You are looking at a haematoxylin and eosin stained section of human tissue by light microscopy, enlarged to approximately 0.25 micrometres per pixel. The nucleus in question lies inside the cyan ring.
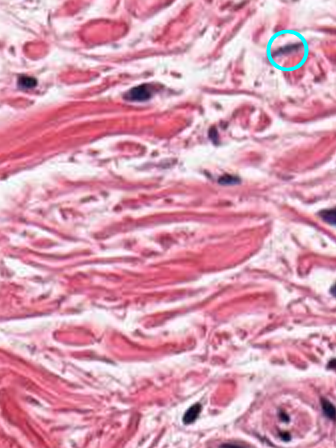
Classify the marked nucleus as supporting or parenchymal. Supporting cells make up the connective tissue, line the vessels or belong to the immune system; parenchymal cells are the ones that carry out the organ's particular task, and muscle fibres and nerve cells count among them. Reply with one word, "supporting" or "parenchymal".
supporting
